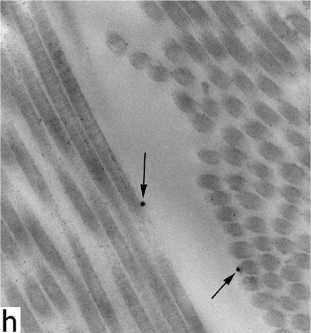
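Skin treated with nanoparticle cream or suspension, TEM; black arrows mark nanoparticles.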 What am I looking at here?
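Here we are in the dermis, looking at collagen fibers in the extracellular matrix, with no cell in view. On the left the fibrils run lengthwise as long, straight, parallel strands packed side by side. On the right the same kind of fibrils are cut across, so each appears as a small round grey profile, all about the same size, lying close together in a loose array. Between the two groups is a pale, fairly empty band of ground substance. A few tiny, very dense black dots lie among the fibrils, one in the gap and one at the edge of the cross-cut group.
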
